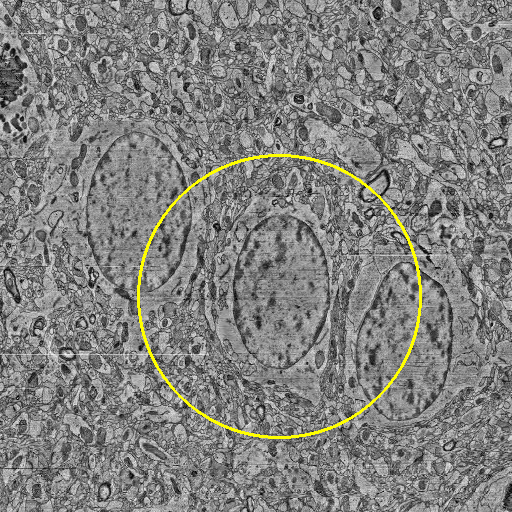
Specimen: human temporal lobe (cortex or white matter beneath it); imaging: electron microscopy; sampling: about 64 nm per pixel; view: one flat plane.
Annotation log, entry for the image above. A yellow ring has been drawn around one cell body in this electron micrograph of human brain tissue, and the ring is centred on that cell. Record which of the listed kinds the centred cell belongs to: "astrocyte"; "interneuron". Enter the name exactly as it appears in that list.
astrocyte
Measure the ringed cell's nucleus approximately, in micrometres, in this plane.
At approximately 10 by 6 micrometres, the nucleus is clearly longer than it is wide in this plane.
